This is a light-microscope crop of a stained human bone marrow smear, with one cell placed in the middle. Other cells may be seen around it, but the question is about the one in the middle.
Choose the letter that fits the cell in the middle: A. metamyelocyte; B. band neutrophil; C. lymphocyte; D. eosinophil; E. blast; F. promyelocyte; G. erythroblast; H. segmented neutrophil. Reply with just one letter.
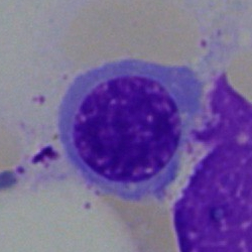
G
